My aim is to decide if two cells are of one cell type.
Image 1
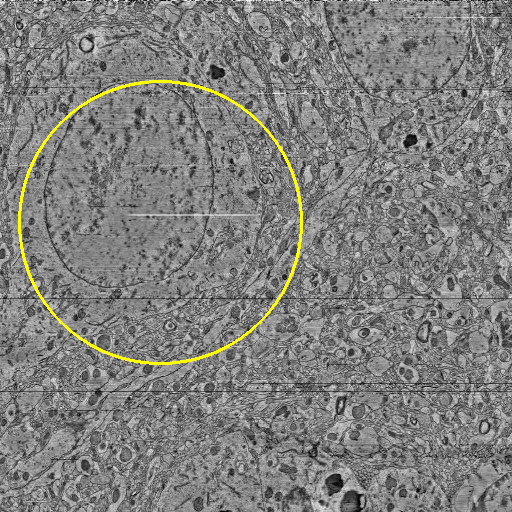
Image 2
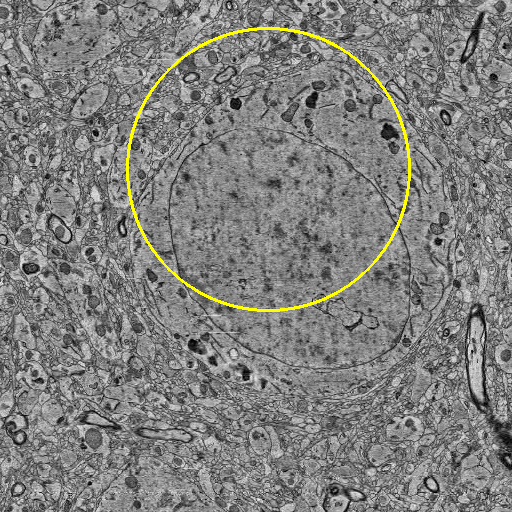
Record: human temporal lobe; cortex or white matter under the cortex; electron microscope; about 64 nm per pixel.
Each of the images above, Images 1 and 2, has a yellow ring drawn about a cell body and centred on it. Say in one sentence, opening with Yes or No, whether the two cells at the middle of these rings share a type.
Yes, in Images 1 and 2 the cells at the middle of the rings share one type.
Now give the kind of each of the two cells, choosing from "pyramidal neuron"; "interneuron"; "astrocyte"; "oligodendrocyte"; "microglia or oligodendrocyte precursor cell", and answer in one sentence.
Each cell, in the first picture and the second, is a pyramidal neuron.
